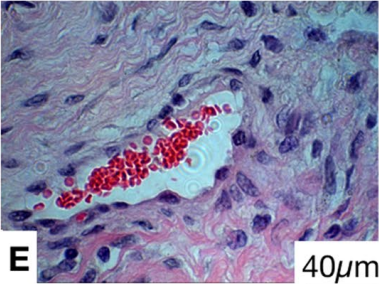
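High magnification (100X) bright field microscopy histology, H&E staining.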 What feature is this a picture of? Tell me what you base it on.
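Blood vessels. An elongated lumen packed with red blood cells. The lumen is lined by flattened cells. Surrounding loose pale connective tissue with scattered nuclei.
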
